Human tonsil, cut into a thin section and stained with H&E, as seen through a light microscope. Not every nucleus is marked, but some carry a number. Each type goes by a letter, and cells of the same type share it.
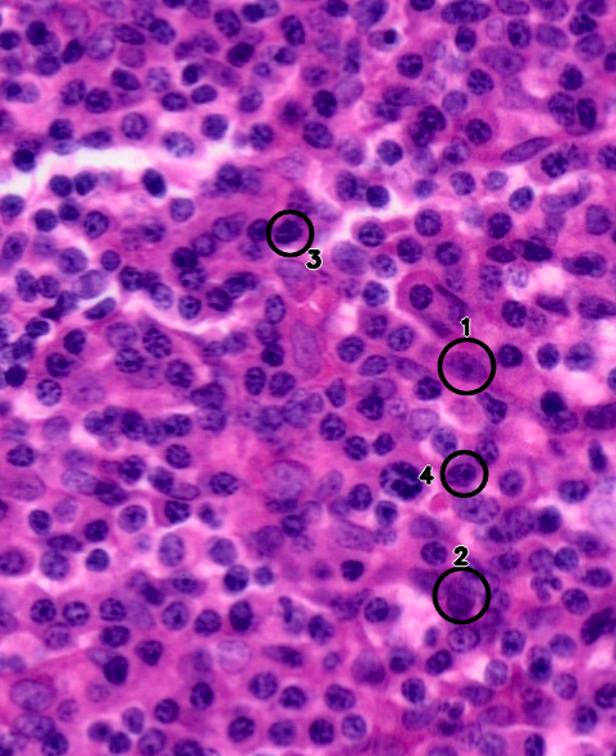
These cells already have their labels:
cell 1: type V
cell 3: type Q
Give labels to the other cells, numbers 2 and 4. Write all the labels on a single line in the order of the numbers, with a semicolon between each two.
type V; type Q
